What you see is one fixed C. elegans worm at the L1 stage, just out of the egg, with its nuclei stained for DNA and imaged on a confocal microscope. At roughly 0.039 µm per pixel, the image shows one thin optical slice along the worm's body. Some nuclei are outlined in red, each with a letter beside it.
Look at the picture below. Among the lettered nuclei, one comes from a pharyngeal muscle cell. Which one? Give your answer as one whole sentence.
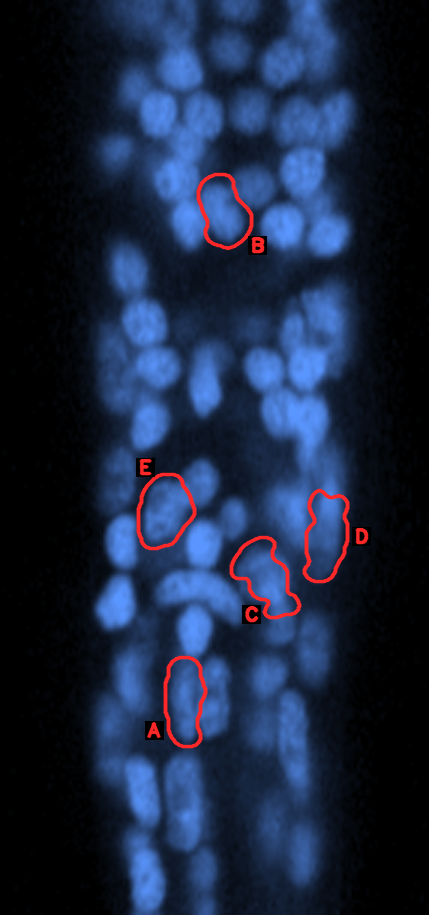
The nucleus of a pharyngeal muscle cell is E.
